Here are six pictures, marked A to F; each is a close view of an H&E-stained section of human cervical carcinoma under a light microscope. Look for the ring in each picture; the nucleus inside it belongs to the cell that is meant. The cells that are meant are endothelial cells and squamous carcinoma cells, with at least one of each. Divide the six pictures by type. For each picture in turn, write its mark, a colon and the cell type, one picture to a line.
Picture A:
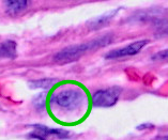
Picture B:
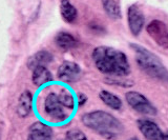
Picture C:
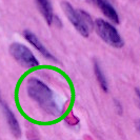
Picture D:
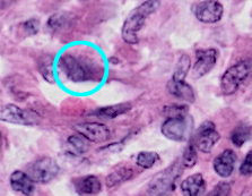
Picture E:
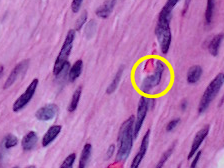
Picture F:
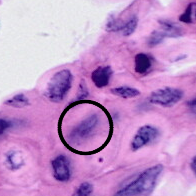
A: endothelial cell
B: squamous carcinoma cell
C: endothelial cell
D: endothelial cell
E: endothelial cell
F: squamous carcinoma cell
